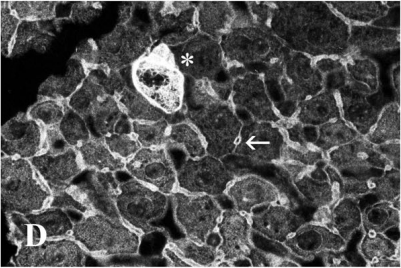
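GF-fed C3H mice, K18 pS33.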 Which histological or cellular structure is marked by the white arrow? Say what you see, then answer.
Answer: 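The arrow points to a small bright ring at the junction between adjacent cells. The ring encloses a dark round lumen. Similar small rings occur along other cell borders.
Conclusion: dilated bile canaliculi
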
